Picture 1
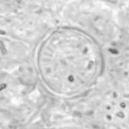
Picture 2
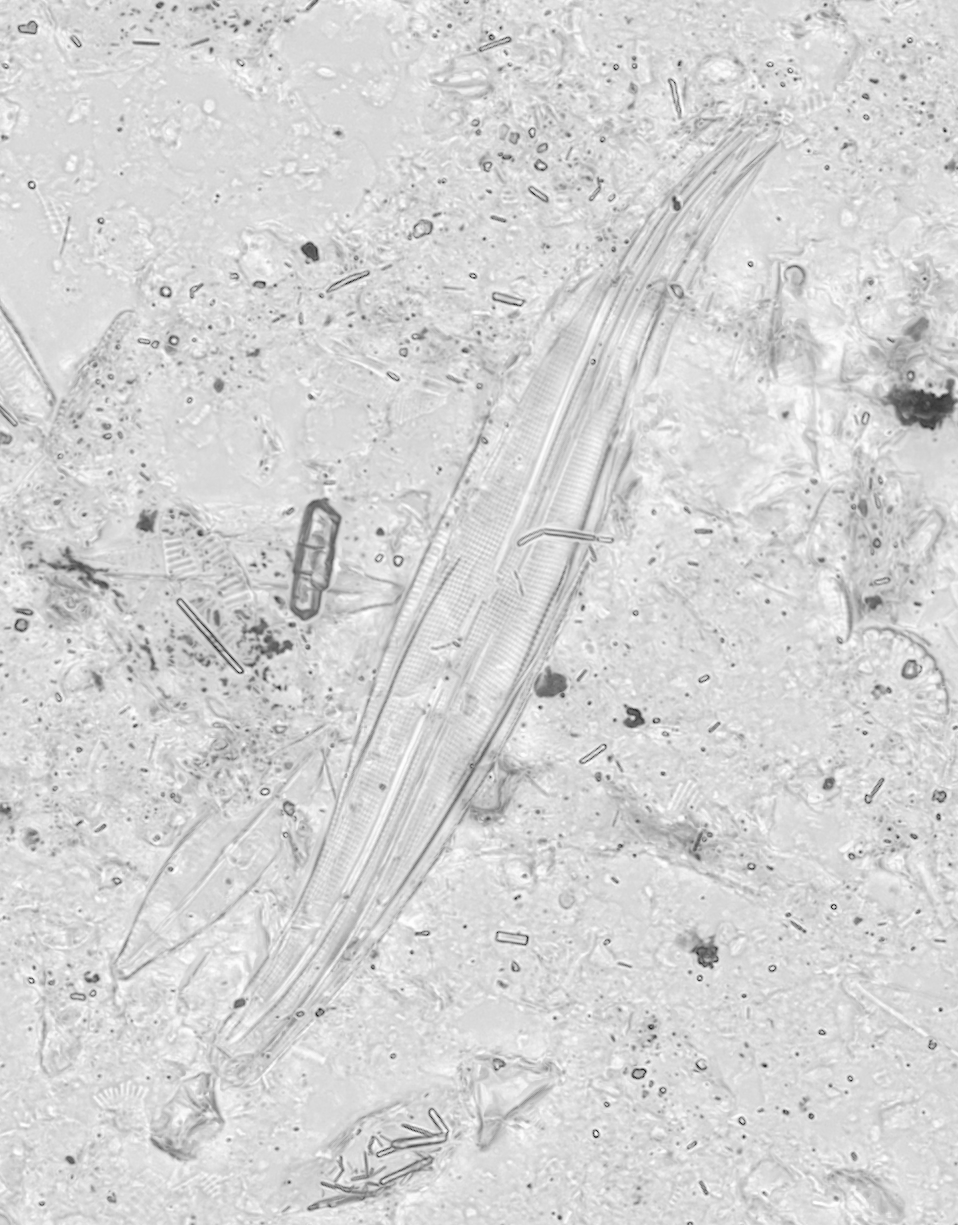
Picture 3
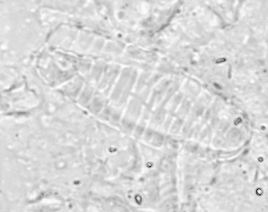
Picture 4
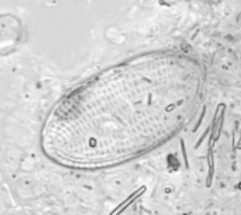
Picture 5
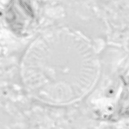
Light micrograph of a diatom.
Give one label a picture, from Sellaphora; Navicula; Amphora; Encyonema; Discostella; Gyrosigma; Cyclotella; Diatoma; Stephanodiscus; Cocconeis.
(1) Discostella
(2) Gyrosigma
(3) Diatoma
(4) Cocconeis
(5) Cyclotella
